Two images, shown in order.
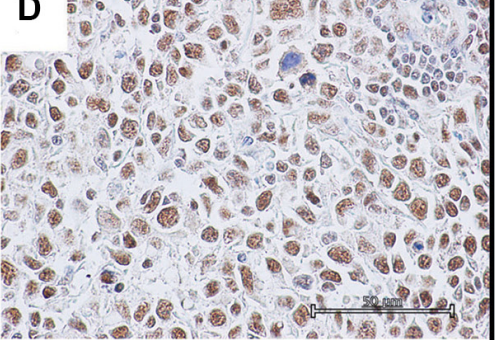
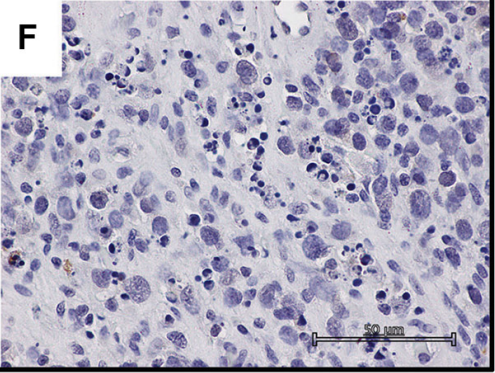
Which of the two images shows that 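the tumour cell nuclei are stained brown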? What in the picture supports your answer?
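The first image. Second image: large tumour nuclei are blue only, with no brown stain. First image: nearly all large tumour nuclei are brown.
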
